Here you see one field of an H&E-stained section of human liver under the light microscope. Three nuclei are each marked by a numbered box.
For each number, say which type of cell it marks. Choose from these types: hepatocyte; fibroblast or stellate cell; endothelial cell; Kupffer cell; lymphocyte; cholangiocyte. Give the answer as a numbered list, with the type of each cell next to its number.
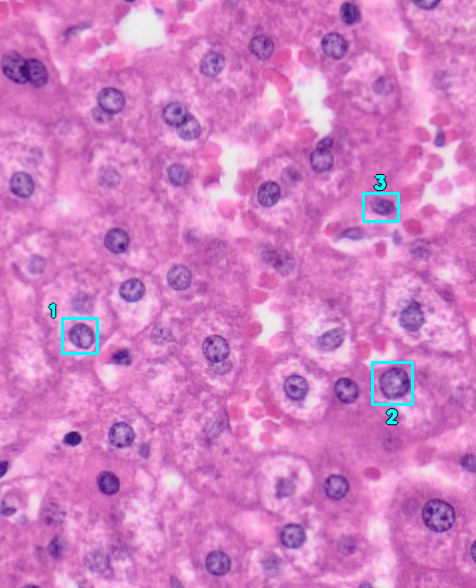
1. hepatocyte
2. hepatocyte
3. fibroblast or stellate cell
